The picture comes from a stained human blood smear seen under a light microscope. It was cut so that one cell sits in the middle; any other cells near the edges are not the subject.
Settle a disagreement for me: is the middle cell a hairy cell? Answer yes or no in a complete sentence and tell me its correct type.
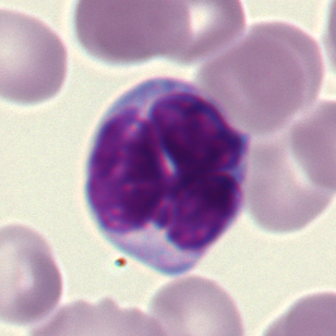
No, a hairy cell is not what the central cell is; it is a large granular lymphocyte.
